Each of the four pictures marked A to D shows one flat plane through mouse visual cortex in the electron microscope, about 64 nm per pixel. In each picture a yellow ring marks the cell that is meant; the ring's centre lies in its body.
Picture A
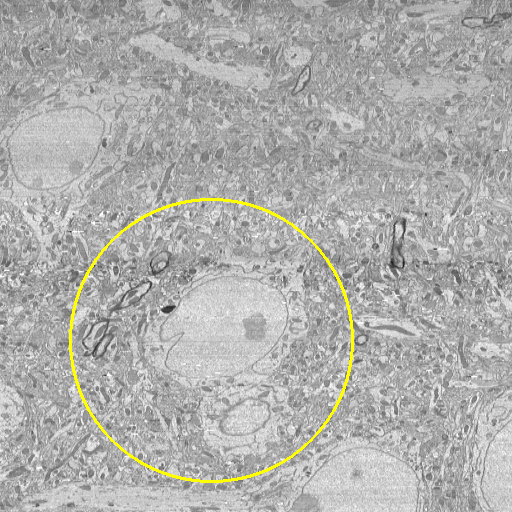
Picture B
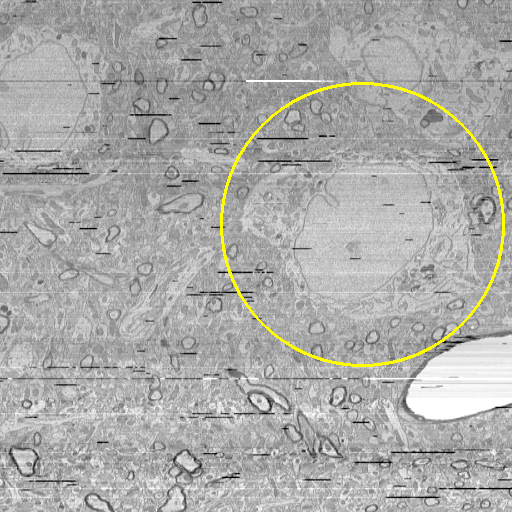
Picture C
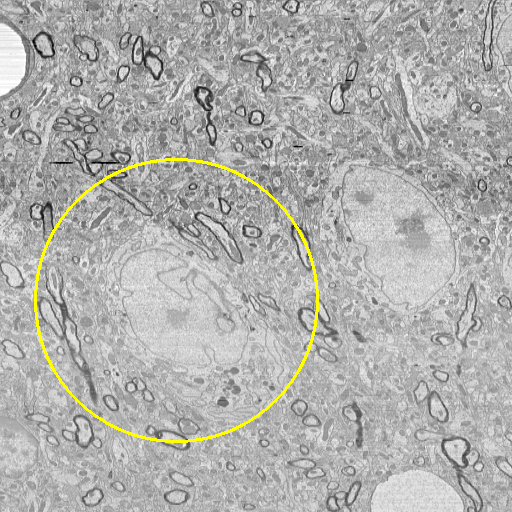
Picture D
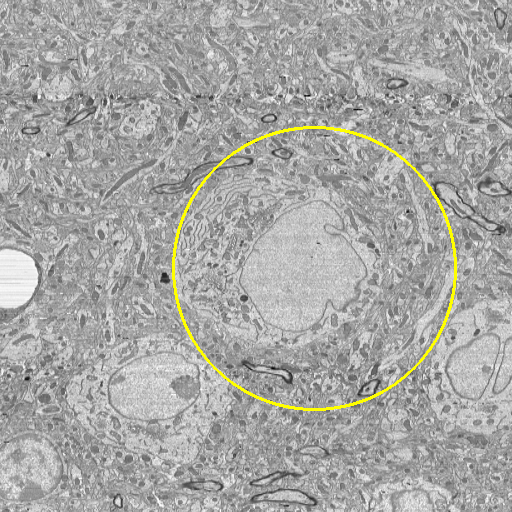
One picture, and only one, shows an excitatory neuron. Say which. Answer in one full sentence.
Picture A is the one that shows the excitatory neuron.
